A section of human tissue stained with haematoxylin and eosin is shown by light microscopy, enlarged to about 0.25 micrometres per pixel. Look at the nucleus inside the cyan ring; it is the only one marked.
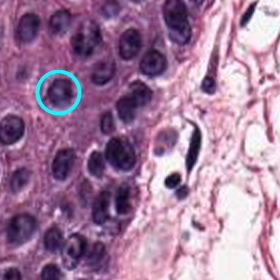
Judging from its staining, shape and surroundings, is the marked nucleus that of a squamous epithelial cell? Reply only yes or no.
yes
